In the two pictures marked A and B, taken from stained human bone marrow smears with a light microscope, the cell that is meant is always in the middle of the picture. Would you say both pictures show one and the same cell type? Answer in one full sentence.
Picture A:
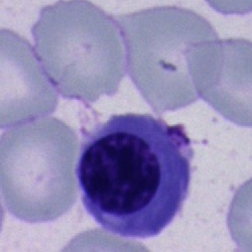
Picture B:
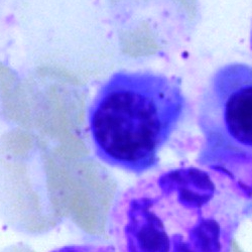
Yes, both are erythroblasts.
